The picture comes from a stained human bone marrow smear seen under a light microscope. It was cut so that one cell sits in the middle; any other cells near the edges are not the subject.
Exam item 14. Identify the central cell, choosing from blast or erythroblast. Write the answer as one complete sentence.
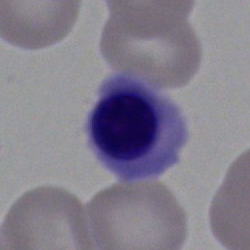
The central cell, amid any neighbouring cells, is an erythroblast.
